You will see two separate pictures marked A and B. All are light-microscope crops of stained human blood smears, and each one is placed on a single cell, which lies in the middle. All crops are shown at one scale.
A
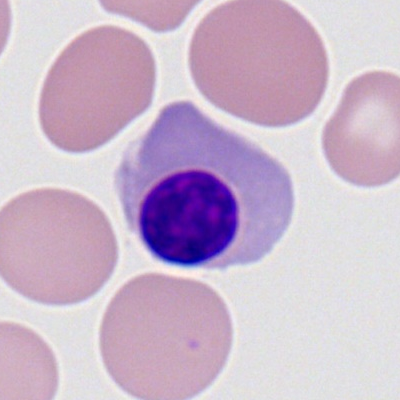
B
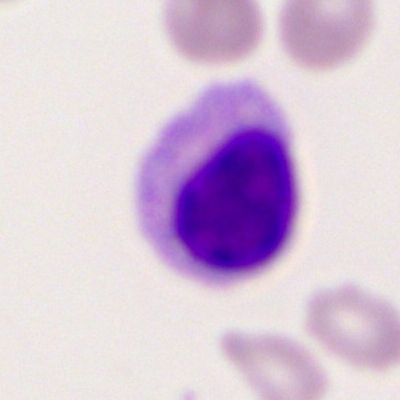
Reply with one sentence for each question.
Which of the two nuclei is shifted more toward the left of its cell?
It is the nucleus in crop A that lies further toward the left of its cell.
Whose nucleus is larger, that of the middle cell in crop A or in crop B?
Crop B shows the larger nucleus; it covers about 2 times the area of the nucleus in crop A.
